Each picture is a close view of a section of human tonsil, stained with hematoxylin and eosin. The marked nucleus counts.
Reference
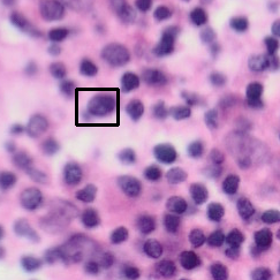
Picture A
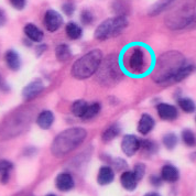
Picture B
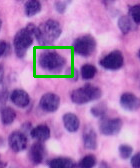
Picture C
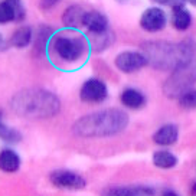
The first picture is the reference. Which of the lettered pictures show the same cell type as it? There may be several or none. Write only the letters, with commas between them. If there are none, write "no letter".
B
